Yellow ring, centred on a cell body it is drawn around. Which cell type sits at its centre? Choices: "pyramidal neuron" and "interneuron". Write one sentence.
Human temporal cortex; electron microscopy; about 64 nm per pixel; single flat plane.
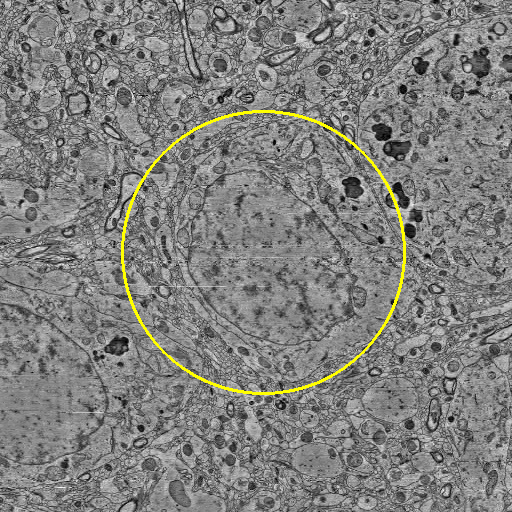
At the centre of the ring sits a pyramidal neuron.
